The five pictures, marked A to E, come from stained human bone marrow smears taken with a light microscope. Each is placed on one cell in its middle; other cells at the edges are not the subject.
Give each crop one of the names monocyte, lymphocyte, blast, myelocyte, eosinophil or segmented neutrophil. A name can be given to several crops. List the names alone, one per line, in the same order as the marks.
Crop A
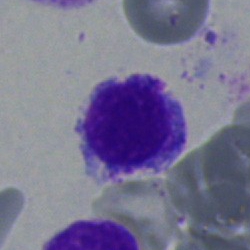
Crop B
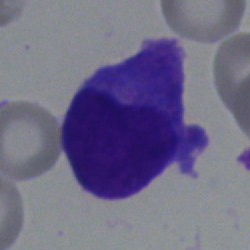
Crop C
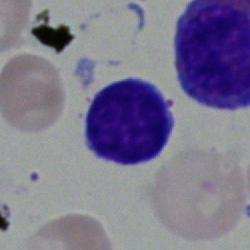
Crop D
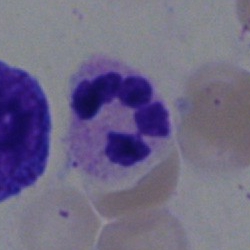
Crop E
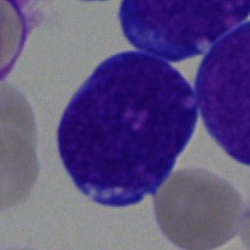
lymphocyte
blast
lymphocyte
segmented neutrophil
blast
